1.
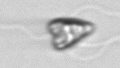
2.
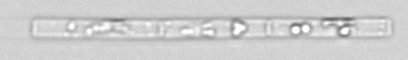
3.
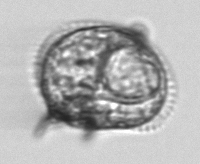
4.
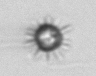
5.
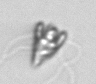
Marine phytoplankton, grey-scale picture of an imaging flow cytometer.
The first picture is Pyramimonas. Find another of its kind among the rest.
Picture 5.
